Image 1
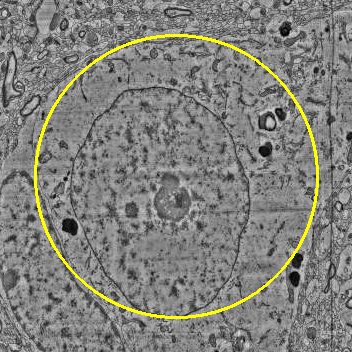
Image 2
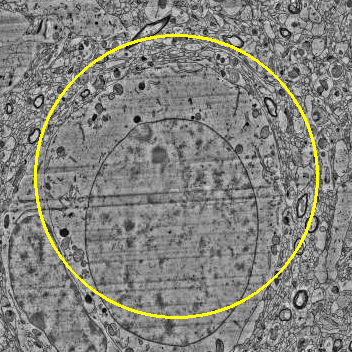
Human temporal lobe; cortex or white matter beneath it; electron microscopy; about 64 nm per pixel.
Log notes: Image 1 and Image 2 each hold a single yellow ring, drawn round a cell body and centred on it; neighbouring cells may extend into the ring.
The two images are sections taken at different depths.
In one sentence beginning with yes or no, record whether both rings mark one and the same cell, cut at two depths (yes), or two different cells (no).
No, each ring encloses a different cell in the tissue.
